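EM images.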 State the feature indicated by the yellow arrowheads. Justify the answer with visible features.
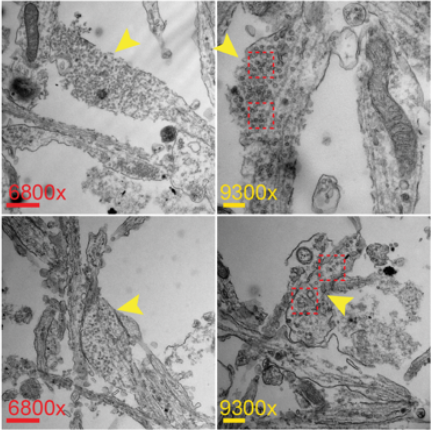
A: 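The arrowheads point at swollen neurite profiles. These profiles are packed with many small round vesicles.
Hence: Pre-synaptic structures with synaptic vesicles.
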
